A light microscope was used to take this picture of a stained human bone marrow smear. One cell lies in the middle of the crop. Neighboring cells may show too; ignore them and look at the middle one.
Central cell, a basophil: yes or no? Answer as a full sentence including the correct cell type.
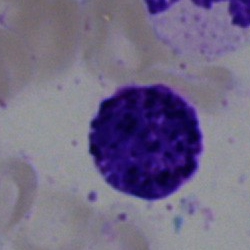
Yes, the middle of the crop is occupied by a basophil.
